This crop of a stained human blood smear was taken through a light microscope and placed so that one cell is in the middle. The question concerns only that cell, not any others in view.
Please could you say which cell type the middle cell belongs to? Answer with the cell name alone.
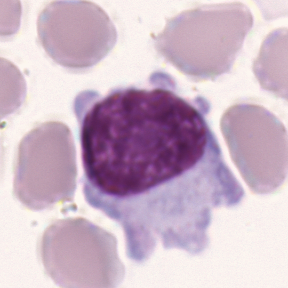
plasma cell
